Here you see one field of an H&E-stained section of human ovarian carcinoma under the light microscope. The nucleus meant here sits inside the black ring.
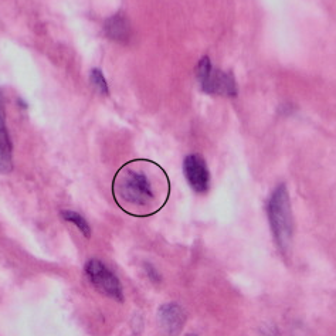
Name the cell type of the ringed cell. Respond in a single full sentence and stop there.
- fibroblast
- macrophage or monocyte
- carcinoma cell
In cellular terms, the ringed cell is a fibroblast.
